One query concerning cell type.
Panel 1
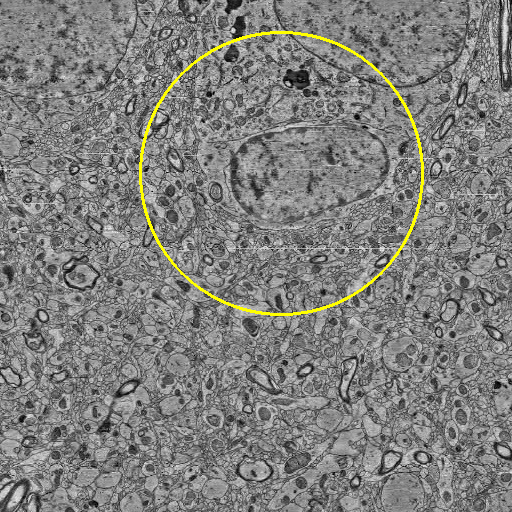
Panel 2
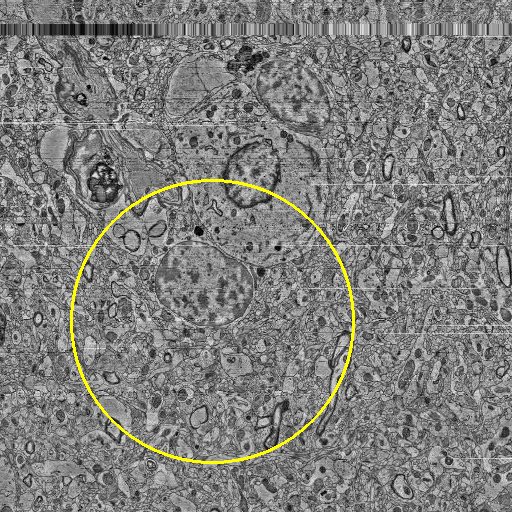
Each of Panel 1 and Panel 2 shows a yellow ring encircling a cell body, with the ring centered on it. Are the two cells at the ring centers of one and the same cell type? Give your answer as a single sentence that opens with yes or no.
Yes, the cell centered in Panel 1 and the one in Panel 2 share a type.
